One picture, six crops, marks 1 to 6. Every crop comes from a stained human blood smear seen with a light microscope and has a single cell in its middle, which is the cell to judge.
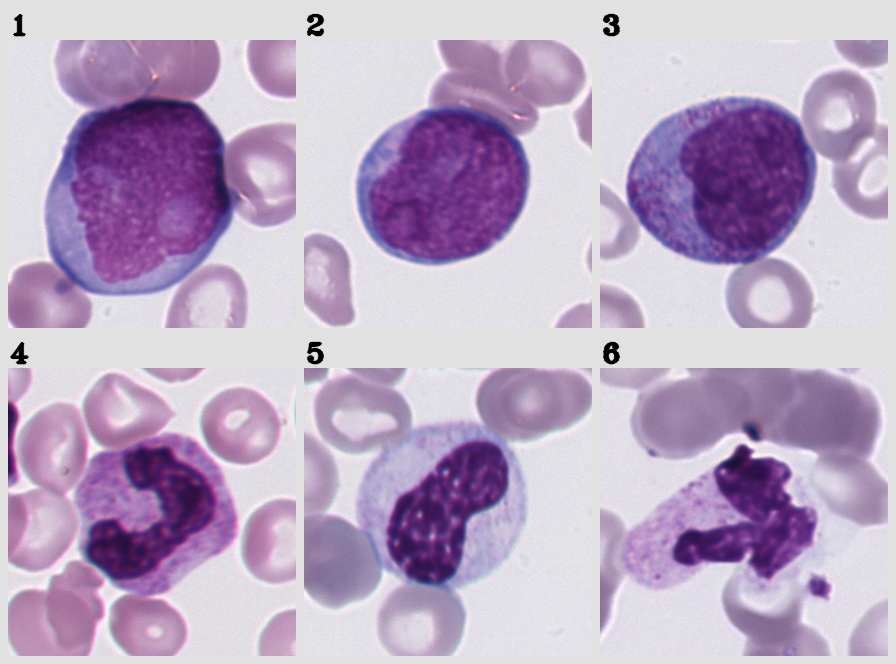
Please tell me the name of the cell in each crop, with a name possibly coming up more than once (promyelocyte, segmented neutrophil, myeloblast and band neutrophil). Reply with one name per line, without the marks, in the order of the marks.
myeloblast
myeloblast
promyelocyte
segmented neutrophil
band neutrophil
segmented neutrophil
